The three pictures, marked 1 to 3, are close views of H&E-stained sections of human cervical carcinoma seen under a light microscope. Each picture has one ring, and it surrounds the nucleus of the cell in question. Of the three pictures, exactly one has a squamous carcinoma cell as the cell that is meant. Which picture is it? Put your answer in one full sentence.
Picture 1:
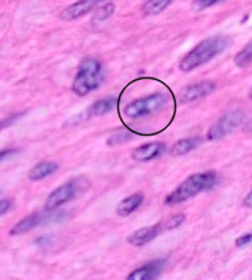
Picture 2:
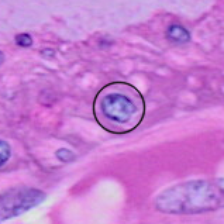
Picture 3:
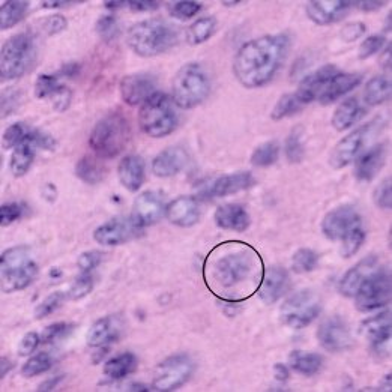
Picture 3 shows the squamous carcinoma cell.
